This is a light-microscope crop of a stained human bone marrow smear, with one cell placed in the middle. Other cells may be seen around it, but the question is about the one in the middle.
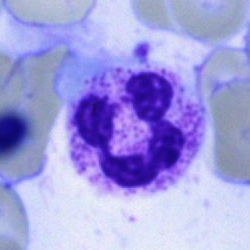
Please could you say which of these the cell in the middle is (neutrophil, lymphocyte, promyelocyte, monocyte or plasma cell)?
neutrophil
